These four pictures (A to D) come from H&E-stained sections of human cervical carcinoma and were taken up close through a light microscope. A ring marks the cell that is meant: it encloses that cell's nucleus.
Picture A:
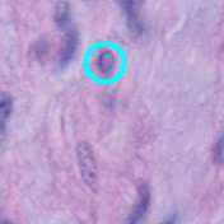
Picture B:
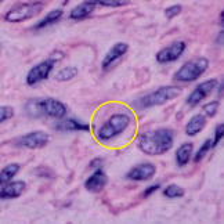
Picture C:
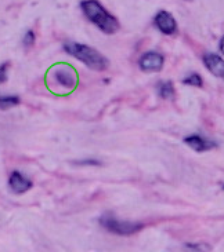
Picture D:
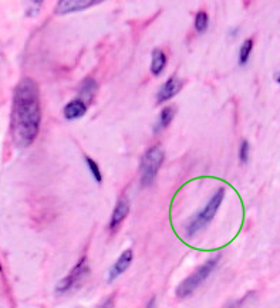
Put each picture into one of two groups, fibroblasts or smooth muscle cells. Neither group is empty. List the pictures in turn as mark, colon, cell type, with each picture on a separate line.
A: smooth muscle cell
B: smooth muscle cell
C: smooth muscle cell
D: fibroblast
